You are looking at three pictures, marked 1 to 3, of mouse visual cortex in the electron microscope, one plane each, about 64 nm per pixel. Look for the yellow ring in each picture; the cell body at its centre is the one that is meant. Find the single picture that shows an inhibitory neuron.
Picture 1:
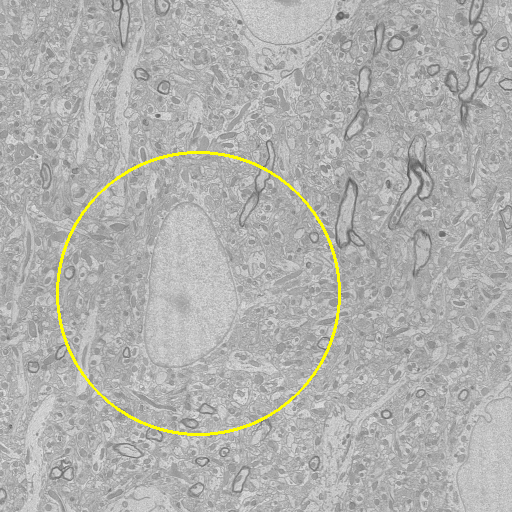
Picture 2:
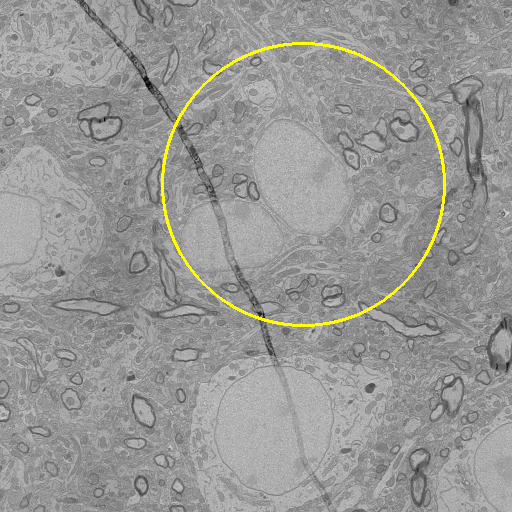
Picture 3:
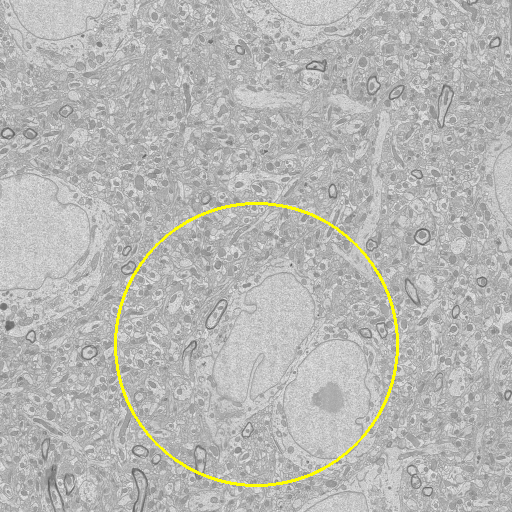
The inhibitory neuron is the one in picture 3.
